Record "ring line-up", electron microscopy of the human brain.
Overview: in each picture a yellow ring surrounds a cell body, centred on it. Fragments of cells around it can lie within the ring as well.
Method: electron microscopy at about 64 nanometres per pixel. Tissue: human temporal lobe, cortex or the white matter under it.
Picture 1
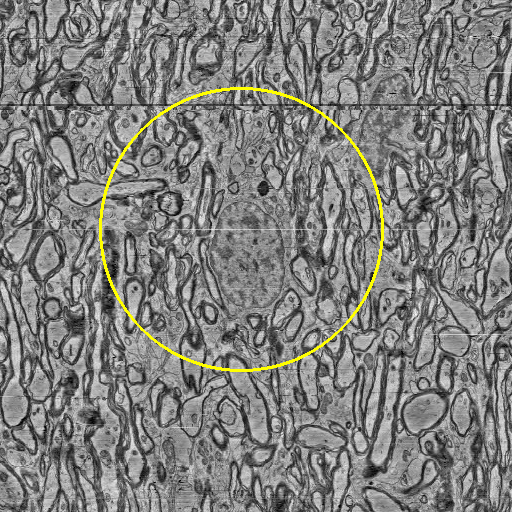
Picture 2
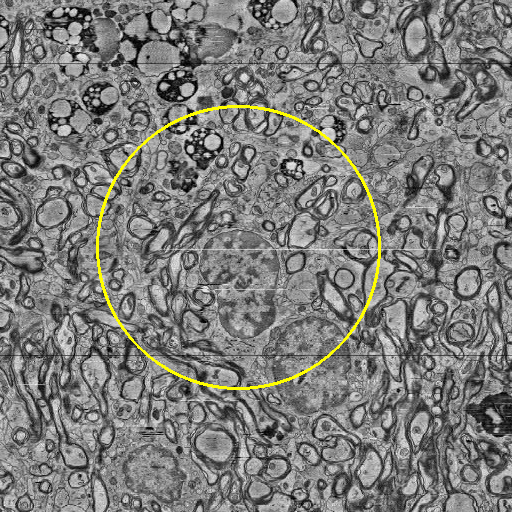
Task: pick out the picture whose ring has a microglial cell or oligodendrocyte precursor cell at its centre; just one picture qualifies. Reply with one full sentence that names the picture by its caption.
Going by the cell at the ring's centre, the right choice is Picture 2.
